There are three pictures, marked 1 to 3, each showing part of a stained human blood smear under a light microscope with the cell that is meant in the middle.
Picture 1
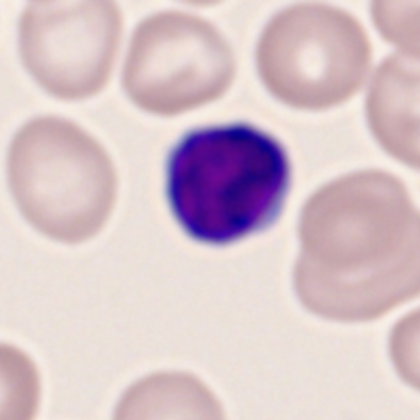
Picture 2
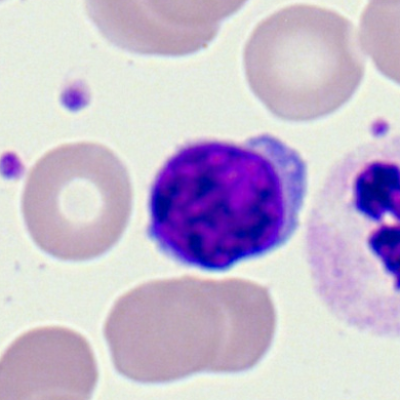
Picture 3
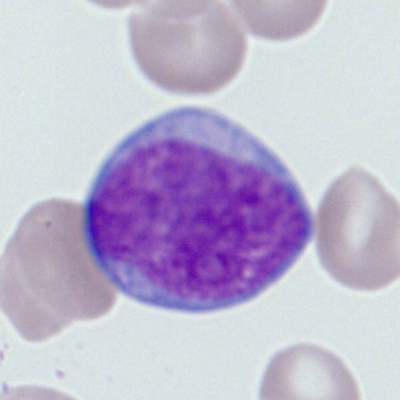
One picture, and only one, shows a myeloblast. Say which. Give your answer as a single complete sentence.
Picture 3 shows the myeloblast.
